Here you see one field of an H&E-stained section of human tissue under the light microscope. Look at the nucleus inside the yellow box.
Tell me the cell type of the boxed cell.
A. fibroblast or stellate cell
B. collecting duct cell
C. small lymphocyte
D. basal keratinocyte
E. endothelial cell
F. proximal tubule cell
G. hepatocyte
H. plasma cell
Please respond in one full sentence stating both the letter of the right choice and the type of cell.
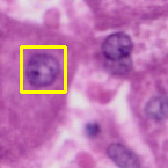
Option G stands as correct, with the boxed cell being a hepatocyte.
